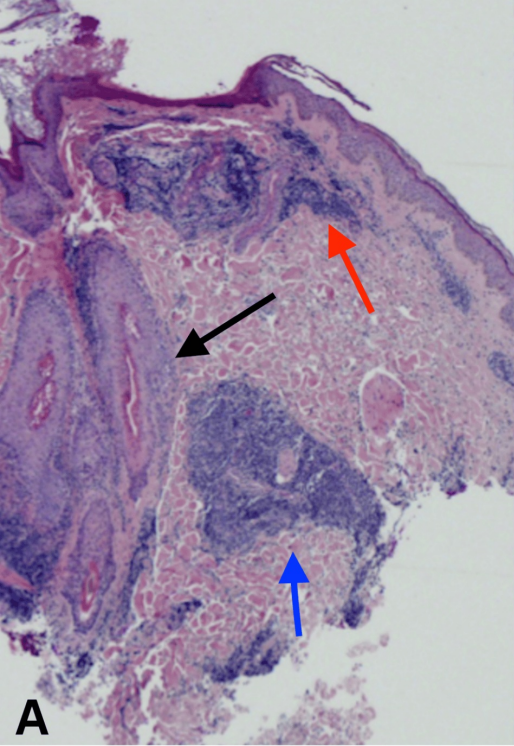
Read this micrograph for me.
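This is skin at low power, with the pink epidermis along the top and hair follicle epithelium running down at the left. In the dermis, dense dark-purple clusters of small lymphocytes gather just beneath the epidermis, deeper down around vessels, and along the follicles, standing out against the pink collagen.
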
